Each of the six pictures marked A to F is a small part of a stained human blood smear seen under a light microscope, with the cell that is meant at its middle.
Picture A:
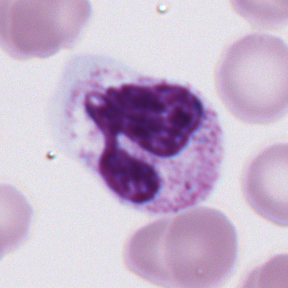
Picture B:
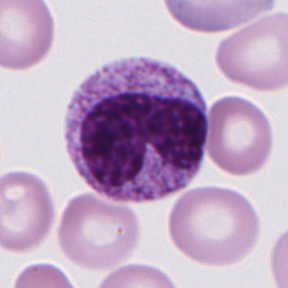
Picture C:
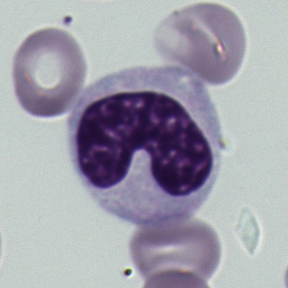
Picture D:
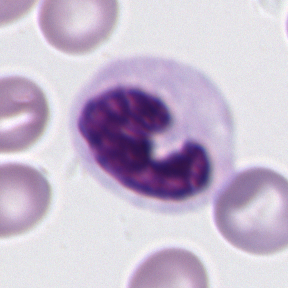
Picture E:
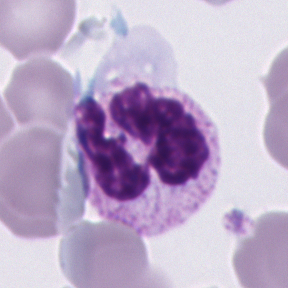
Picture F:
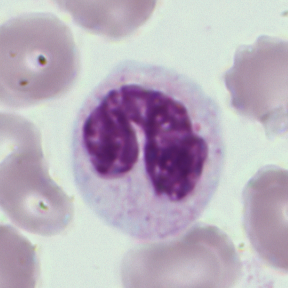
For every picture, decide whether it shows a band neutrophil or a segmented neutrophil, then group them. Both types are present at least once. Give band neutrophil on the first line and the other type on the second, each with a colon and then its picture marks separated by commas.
band neutrophil: B, C, D, F
segmented neutrophil: A, E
